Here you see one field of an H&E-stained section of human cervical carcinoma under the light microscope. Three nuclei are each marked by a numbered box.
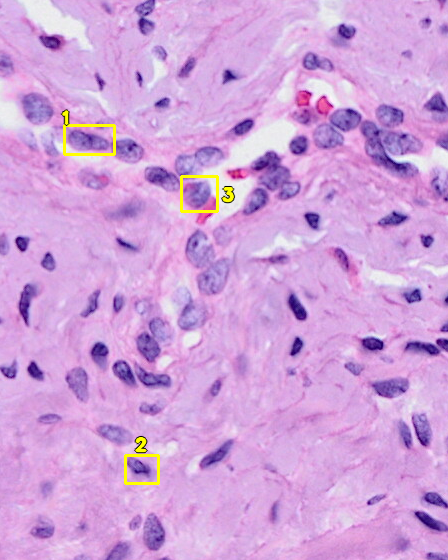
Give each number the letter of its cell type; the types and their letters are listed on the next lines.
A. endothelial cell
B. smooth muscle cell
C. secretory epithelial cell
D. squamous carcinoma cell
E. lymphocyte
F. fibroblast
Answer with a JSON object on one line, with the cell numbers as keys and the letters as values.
{"1": "A", "2": "F", "3": "A"}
